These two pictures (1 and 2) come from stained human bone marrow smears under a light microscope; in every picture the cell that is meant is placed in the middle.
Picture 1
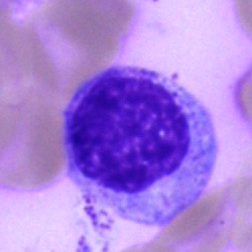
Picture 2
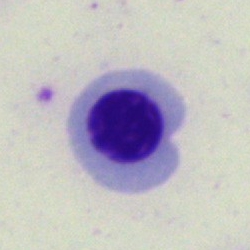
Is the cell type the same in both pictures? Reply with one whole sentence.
No; the cell in picture 1 is a myelocyte, while the one in picture 2 is an erythroblast.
